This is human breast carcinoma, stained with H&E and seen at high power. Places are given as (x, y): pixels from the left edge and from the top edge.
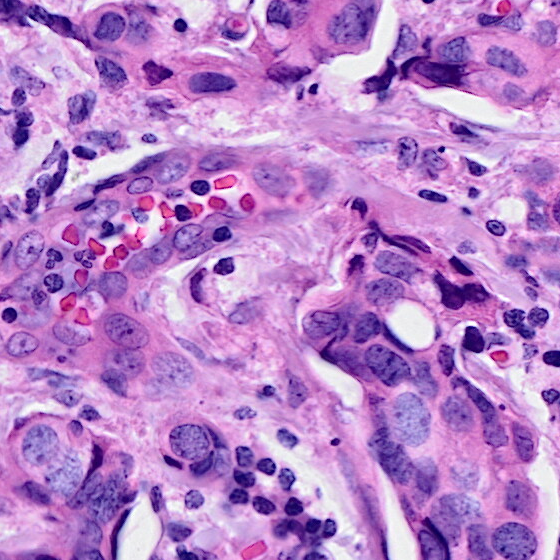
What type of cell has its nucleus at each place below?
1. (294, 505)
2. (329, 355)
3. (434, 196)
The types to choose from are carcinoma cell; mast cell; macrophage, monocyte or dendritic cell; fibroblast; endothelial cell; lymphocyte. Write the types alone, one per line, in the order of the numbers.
lymphocyte
carcinoma cell
lymphocyte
